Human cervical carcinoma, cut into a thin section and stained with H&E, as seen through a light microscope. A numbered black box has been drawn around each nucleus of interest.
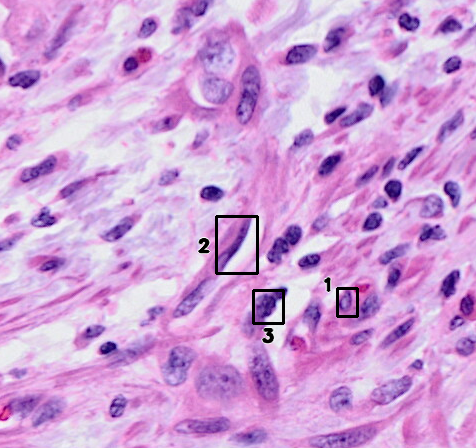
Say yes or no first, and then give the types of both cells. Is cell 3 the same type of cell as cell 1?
No, cell 3 is a lymphocyte and cell 1 is an endothelial cell.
